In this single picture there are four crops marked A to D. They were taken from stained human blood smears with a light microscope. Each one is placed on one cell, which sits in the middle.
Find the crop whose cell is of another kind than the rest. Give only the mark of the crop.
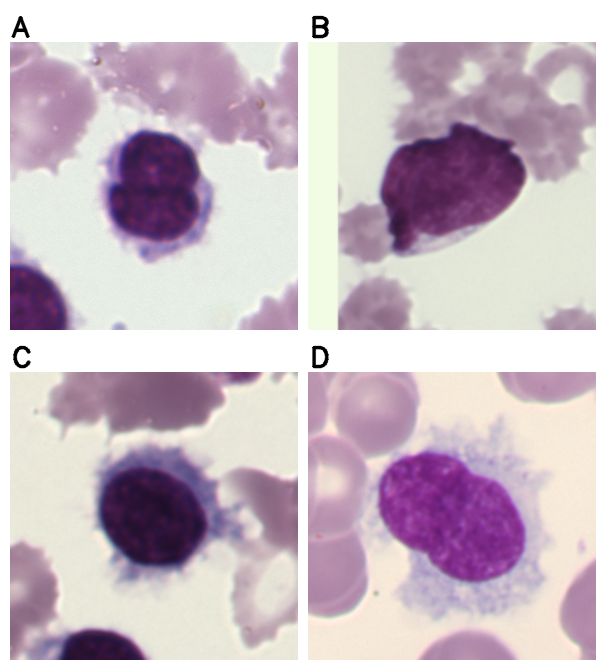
B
